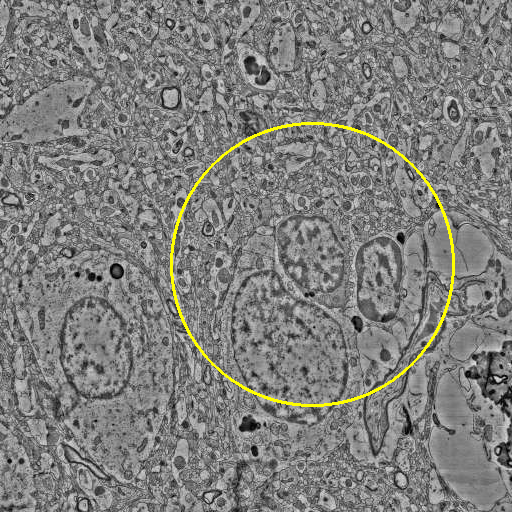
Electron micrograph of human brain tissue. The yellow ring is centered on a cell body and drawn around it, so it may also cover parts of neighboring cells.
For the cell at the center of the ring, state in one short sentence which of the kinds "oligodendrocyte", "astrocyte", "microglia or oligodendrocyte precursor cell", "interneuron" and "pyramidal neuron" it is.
This ring is centered on an oligodendrocyte.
